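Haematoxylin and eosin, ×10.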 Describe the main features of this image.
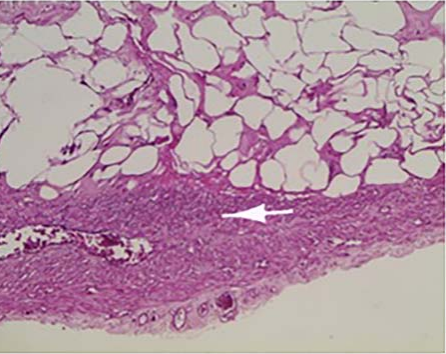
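Mature fat cells occupy the upper part of the field as large, clear, polygonal spaces with thin pink rims, separated in places by thin strands of fibrous tissue. Along the lower edge runs a compact pink band of smooth muscle, made of parallel spindle-shaped cells with elongated nuclei. A blood vessel containing red cells lies within this band.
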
